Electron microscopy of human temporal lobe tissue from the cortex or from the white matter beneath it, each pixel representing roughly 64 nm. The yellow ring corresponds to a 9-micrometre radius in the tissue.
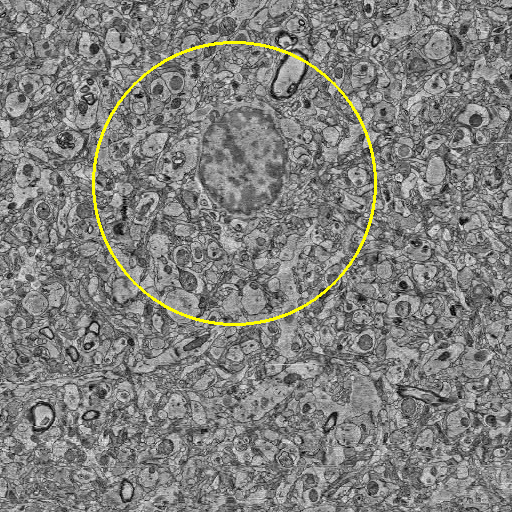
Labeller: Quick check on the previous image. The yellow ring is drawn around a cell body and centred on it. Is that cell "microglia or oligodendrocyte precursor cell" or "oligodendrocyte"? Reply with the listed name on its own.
oligodendrocyte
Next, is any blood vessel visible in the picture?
No.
